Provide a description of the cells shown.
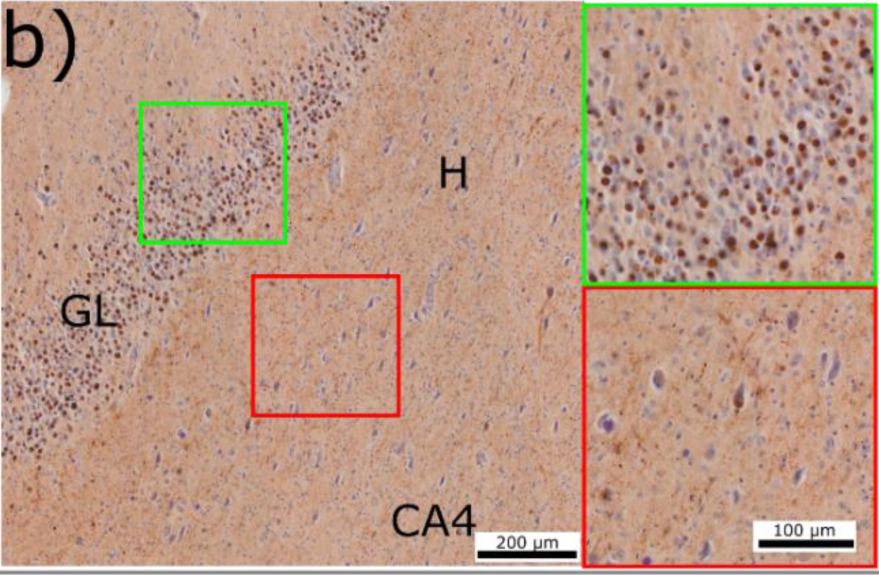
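This section of the dentate gyrus shows a broad diagonal band of densely packed granule cells on the left, beside a more loosely populated hilus region on the right. Within the granular band, numerous small round dark brown inclusions lie among blue nuclei, as seen enlarged in the green inset. The hilus shows scattered larger, elongated blue cell bodies in a diffusely light brown background with fine brown granular and threadlike deposits, as seen in the red inset.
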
